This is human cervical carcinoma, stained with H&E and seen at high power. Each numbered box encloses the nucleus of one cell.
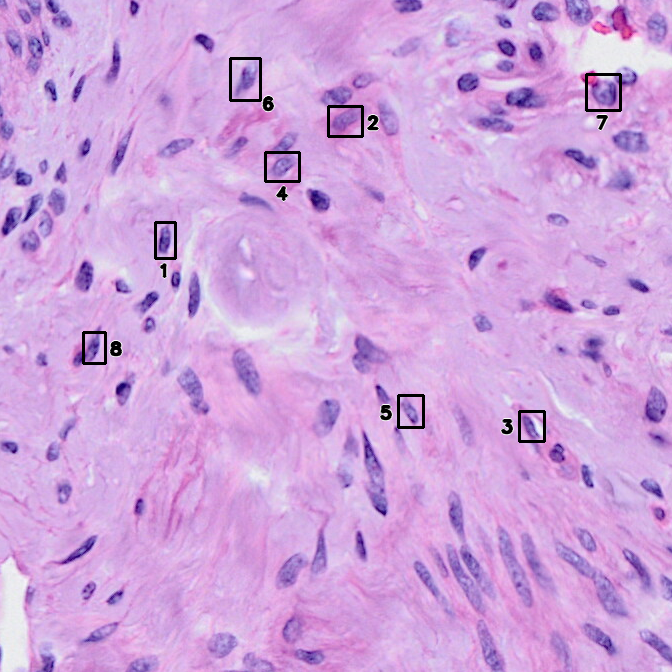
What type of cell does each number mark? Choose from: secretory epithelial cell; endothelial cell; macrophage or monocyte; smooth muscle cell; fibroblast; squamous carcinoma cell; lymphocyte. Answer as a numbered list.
1. fibroblast
2. smooth muscle cell
3. endothelial cell
4. smooth muscle cell
5. smooth muscle cell
6. fibroblast
7. endothelial cell
8. fibroblast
